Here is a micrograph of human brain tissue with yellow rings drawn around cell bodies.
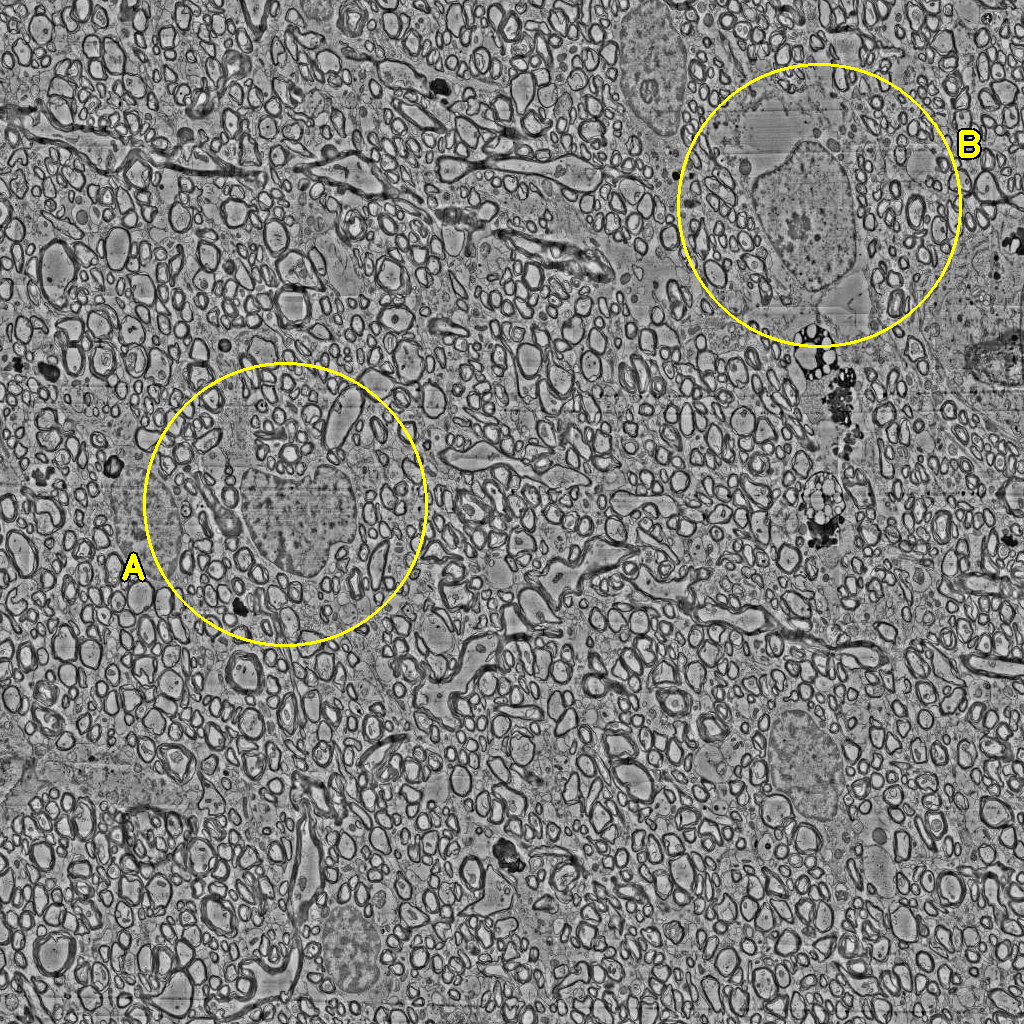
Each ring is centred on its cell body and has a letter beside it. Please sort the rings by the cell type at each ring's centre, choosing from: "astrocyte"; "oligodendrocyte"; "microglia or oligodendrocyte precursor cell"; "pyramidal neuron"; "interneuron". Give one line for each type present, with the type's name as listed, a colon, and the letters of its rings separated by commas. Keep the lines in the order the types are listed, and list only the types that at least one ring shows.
astrocyte: B
microglia or oligodendrocyte precursor cell: A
